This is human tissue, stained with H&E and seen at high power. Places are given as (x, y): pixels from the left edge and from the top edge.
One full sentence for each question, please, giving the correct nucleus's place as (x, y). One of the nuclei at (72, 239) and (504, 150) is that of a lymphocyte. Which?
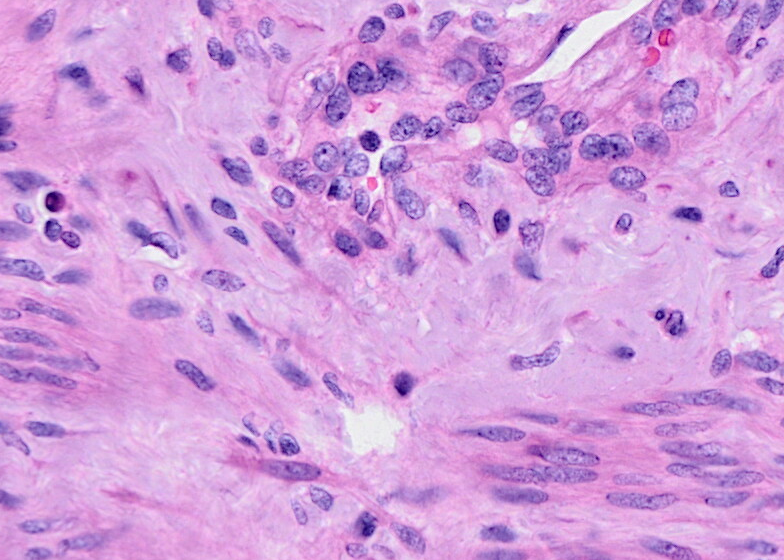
Of the two, the nucleus lying at (72, 239) is the one belonging to a lymphocyte.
